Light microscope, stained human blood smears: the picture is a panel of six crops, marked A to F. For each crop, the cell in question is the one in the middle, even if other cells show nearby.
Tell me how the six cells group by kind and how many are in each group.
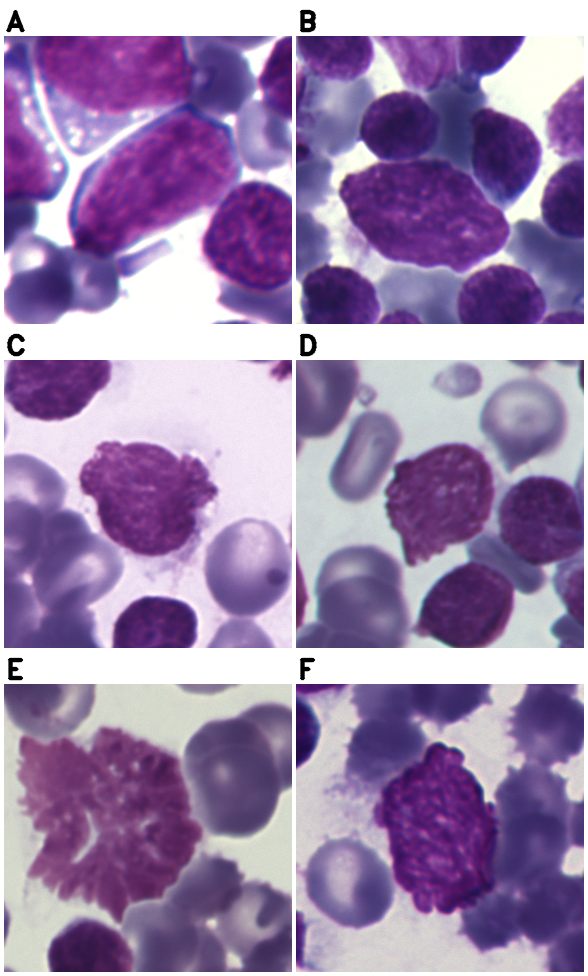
myeloblast: 3
smudge cell: 3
